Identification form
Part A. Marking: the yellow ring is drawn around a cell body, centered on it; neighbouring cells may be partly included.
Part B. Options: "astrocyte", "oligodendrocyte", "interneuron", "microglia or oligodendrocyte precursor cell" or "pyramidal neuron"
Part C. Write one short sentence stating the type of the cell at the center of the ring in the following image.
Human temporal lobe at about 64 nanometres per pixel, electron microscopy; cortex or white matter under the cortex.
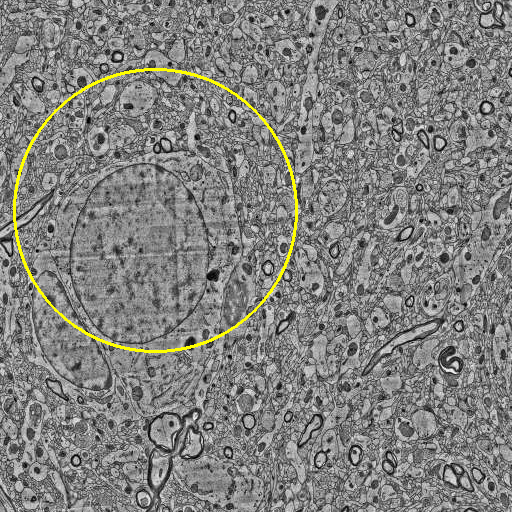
The center of the ring holds a pyramidal neuron.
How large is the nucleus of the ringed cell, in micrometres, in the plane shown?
The nucleus appears roughly 15 by 9 micrometres in this plane.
